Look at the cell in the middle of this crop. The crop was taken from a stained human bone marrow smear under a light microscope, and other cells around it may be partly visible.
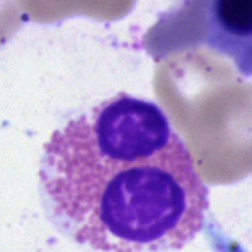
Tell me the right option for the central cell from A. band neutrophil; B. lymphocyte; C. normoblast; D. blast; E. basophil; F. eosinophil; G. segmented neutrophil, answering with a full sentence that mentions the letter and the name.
The correct choice is option F, which identifies the middle cell as an eosinophil.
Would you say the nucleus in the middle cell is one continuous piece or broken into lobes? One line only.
You can count two or more lobes in this nucleus.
